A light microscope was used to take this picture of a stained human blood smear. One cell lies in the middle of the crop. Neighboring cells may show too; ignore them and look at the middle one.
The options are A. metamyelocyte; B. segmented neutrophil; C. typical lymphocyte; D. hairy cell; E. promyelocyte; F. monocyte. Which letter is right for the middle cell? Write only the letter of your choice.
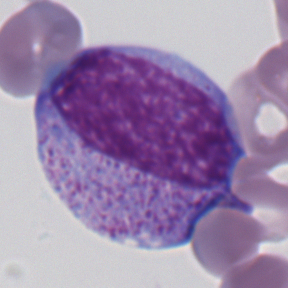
E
